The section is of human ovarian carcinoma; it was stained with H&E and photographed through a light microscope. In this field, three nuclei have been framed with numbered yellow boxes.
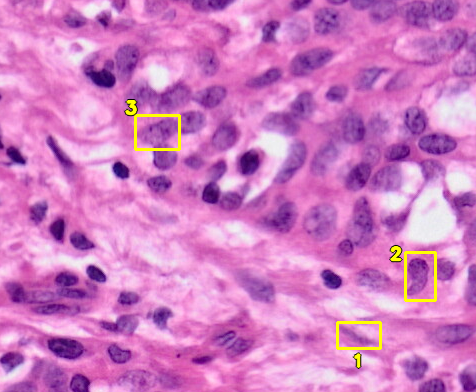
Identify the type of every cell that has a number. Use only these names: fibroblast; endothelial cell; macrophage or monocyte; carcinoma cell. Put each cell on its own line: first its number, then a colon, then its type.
1: fibroblast
2: macrophage or monocyte
3: carcinoma cell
